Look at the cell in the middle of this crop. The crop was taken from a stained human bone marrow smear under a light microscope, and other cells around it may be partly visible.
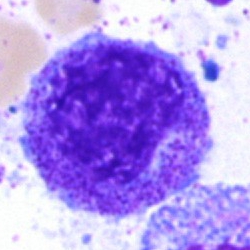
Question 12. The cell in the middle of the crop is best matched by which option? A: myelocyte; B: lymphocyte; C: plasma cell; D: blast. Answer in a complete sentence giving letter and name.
The cell right in the middle is a myelocyte, so option A is the one.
